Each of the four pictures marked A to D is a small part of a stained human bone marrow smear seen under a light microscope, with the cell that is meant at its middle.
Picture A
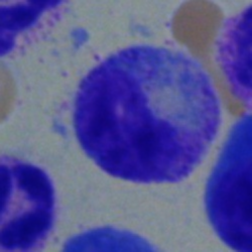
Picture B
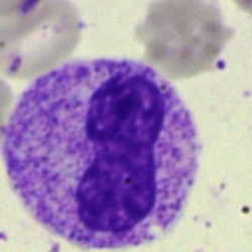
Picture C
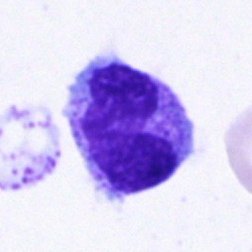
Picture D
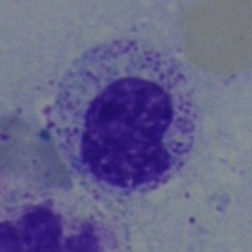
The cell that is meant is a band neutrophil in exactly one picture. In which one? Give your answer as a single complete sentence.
The cell in picture B is the band neutrophil.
